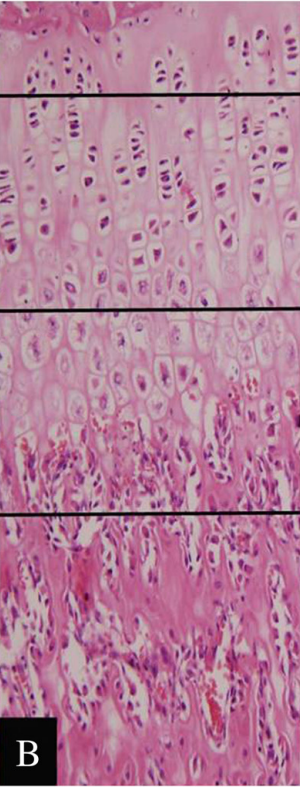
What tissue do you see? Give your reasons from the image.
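Chondrocytes sit in lacunae within a pale pink matrix. Cells are stacked in longitudinal columns. Cartilage gives way below to trabeculae and vascular marrow spaces.
Epiphyseal plate cartilage.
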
